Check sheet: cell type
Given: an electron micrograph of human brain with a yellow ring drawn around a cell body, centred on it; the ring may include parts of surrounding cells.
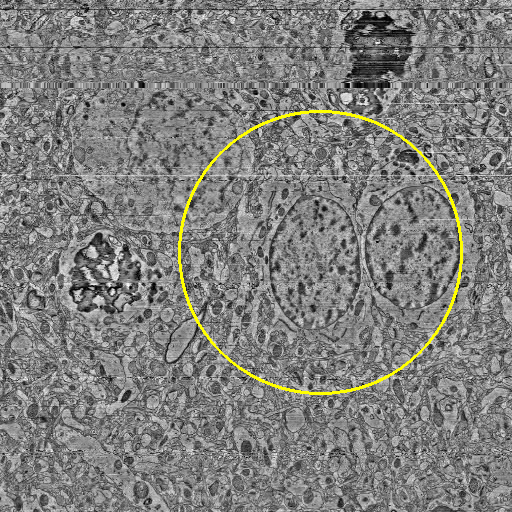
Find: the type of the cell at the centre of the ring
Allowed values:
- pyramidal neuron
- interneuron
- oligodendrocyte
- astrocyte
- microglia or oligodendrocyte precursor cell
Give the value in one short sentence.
Here the ringed cell is an astrocyte.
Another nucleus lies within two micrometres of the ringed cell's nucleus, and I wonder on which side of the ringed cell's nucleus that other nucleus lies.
The other nucleus is found to the right of it.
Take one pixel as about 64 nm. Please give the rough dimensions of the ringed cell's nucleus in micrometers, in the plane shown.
The nucleus comes to approximately 10 by 6 micrometres and is clearly longer than it is wide in this plane.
